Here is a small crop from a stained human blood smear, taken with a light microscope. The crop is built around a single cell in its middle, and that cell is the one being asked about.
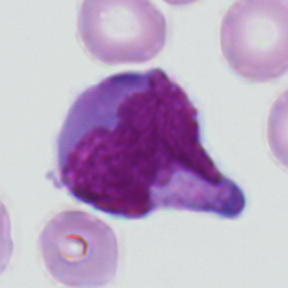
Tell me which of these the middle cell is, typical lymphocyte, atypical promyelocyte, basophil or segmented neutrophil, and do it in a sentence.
The cell centred in this crop is categorized as an atypical promyelocyte.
